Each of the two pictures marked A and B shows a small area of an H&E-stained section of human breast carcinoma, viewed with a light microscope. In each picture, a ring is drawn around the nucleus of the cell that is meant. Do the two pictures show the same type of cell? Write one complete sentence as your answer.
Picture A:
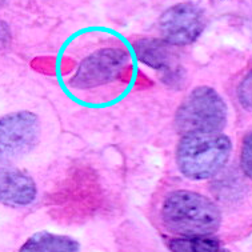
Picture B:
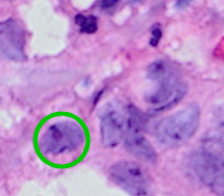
No. Picture A shows an endothelial cell, but picture B shows a carcinoma cell.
